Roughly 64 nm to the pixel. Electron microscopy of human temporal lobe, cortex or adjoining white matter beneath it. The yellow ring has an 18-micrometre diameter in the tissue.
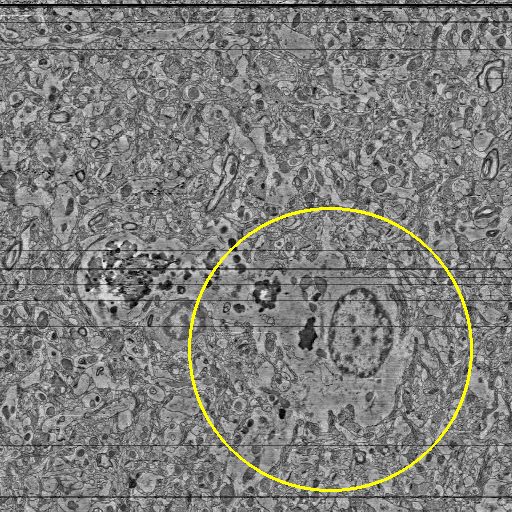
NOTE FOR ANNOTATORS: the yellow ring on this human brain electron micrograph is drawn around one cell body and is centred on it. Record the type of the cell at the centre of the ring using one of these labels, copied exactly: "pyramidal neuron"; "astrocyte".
astrocyte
